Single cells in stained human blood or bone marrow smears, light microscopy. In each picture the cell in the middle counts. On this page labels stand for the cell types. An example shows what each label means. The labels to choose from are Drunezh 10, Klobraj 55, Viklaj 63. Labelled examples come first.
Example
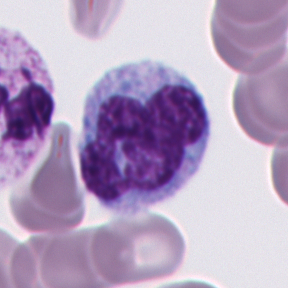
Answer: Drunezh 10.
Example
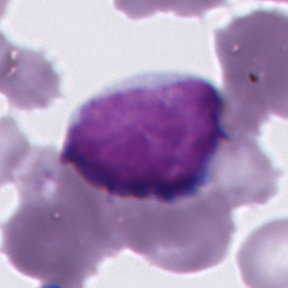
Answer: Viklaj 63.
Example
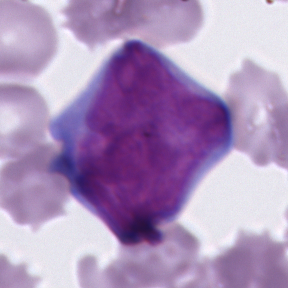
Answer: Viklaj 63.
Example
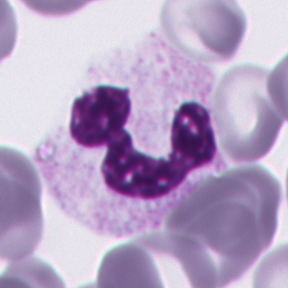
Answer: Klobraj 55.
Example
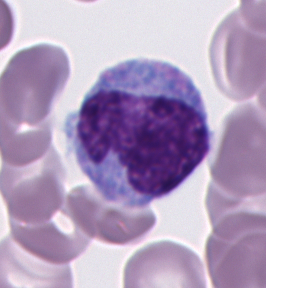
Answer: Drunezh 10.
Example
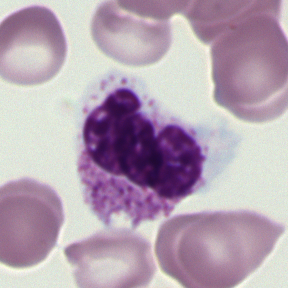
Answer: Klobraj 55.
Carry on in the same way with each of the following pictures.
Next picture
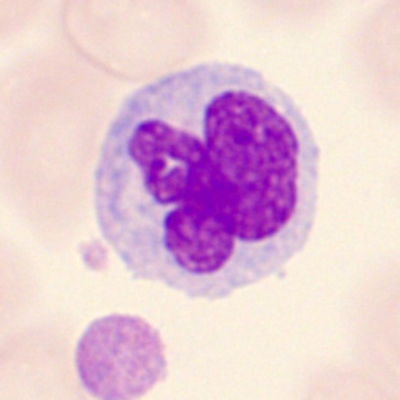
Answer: Drunezh 10.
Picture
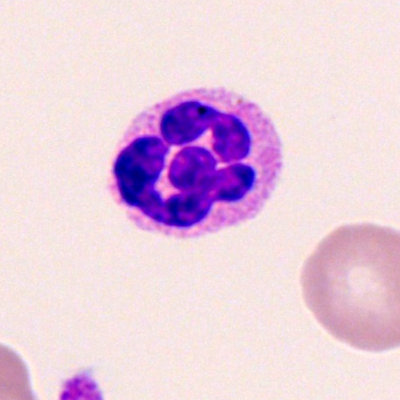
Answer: Klobraj 55.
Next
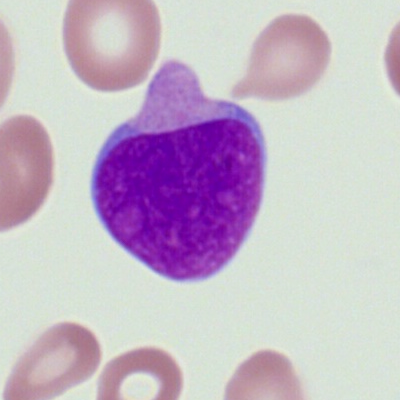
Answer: Viklaj 63.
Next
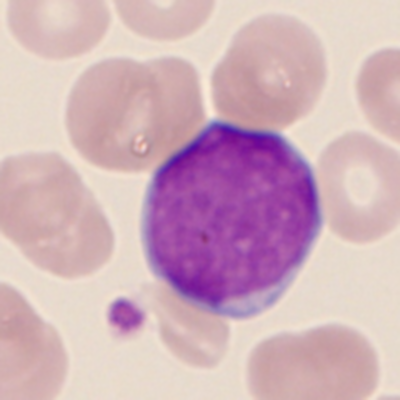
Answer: Viklaj 63.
